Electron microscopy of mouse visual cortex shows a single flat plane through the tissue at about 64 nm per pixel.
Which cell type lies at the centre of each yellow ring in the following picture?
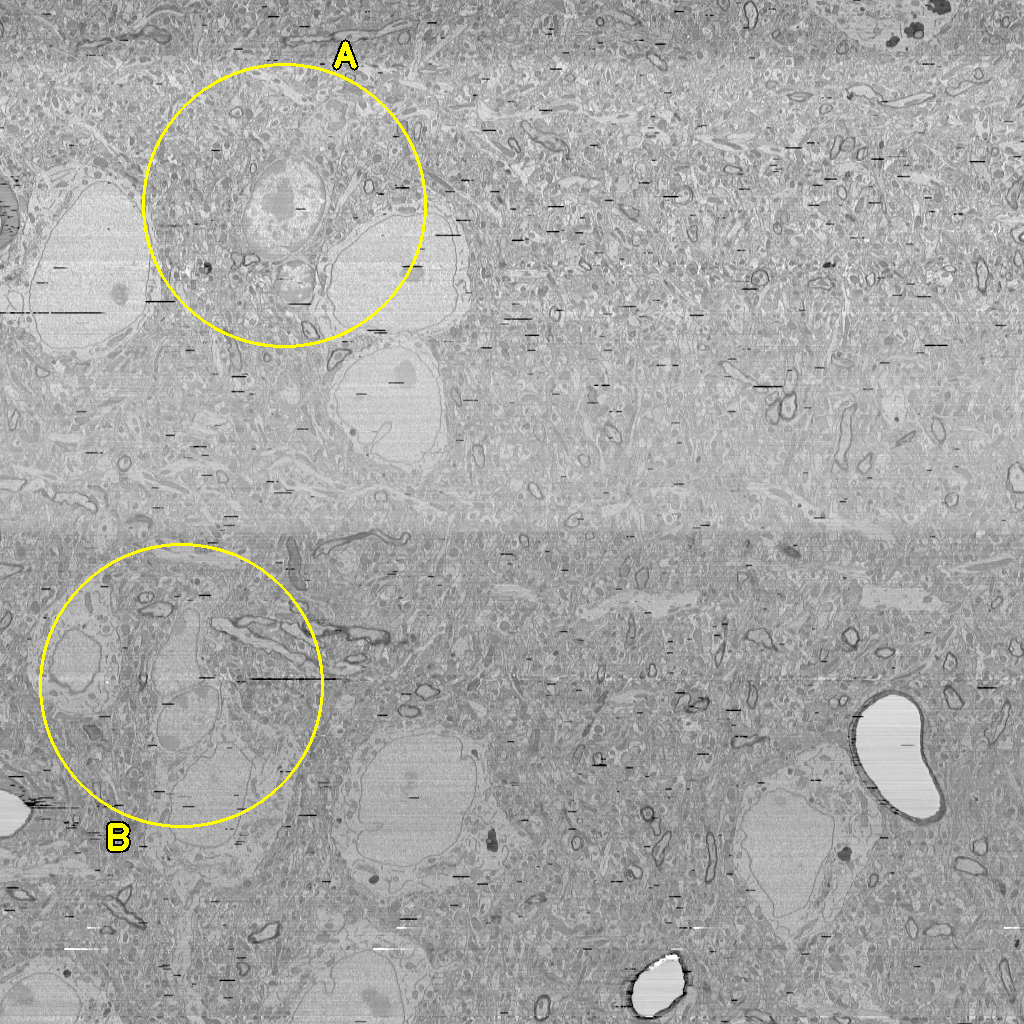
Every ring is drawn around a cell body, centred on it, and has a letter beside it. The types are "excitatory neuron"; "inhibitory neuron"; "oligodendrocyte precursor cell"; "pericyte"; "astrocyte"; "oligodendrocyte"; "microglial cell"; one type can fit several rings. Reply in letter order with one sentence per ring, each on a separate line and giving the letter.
Ring A marks the cell body of an oligodendrocyte.
Ring B marks the cell body of an oligodendrocyte precursor cell.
